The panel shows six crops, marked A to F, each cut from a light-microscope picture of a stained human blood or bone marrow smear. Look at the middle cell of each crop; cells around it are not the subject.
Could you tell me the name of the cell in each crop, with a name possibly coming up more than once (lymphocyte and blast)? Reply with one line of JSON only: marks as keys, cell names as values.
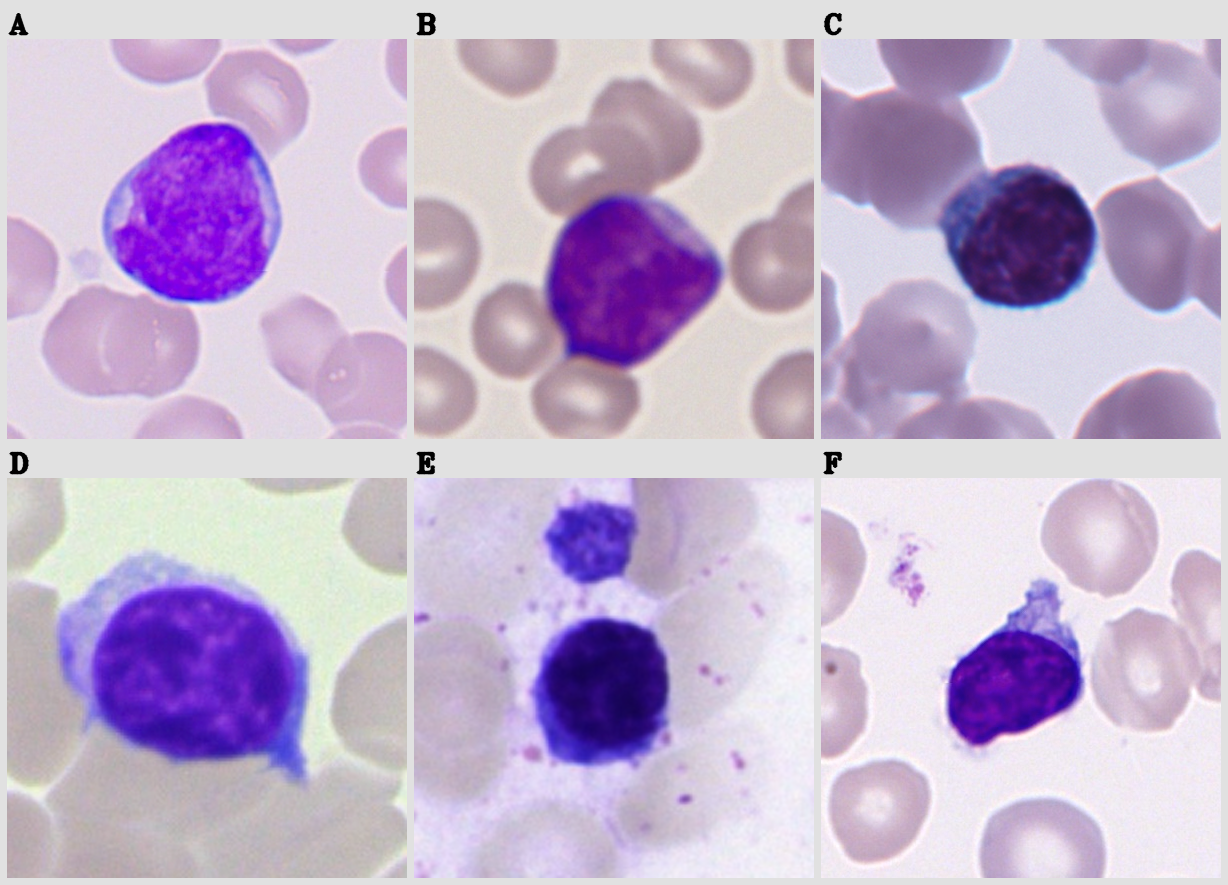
{"A": "blast", "B": "blast", "C": "lymphocyte", "D": "lymphocyte", "E": "lymphocyte", "F": "lymphocyte"}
